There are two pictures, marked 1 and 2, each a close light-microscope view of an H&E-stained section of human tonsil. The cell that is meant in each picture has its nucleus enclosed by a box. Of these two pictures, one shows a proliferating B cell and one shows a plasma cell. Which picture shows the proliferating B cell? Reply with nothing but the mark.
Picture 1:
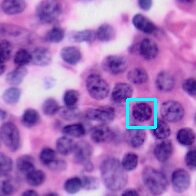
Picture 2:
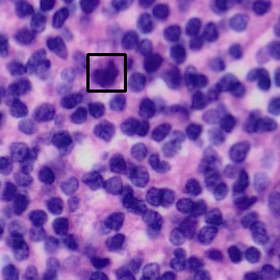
2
